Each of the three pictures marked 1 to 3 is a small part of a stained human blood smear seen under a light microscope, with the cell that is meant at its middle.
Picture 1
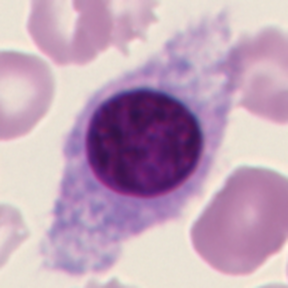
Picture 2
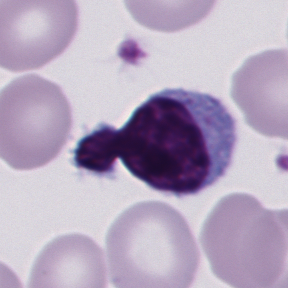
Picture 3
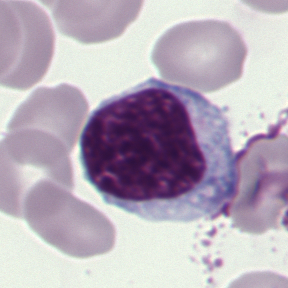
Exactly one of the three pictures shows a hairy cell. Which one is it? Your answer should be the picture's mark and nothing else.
1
